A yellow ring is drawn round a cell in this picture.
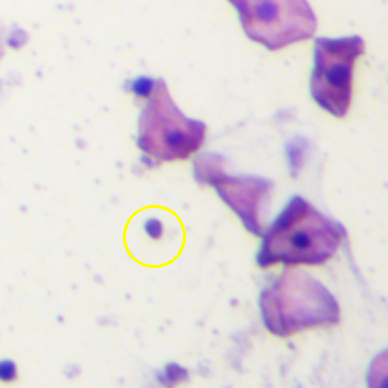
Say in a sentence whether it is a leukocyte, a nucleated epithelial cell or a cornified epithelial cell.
The cell in the ring is a leukocyte.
